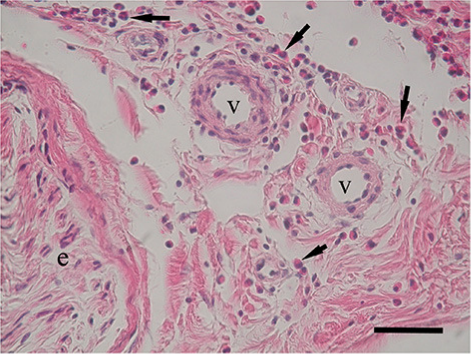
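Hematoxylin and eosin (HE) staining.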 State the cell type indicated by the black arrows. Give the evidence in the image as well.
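Eosinophils. The arrowed cells have bright pink cytoplasm and small dark nuclei. They lie scattered in the loose tissue around the small round vessels.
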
